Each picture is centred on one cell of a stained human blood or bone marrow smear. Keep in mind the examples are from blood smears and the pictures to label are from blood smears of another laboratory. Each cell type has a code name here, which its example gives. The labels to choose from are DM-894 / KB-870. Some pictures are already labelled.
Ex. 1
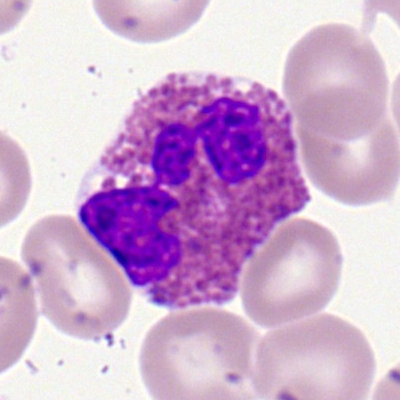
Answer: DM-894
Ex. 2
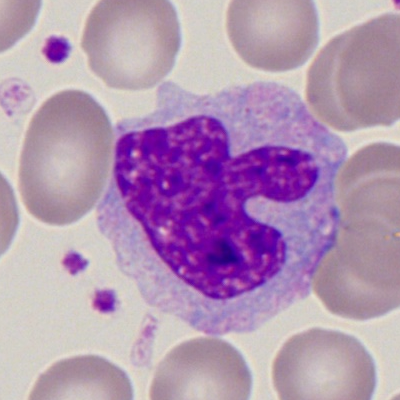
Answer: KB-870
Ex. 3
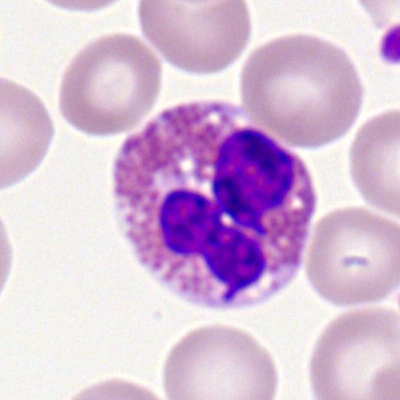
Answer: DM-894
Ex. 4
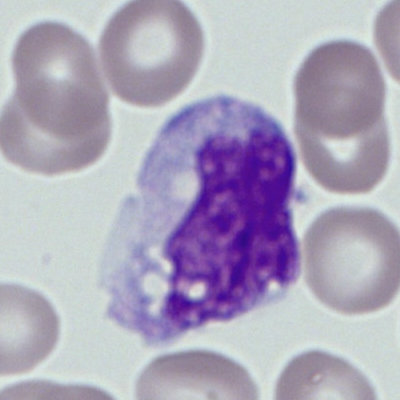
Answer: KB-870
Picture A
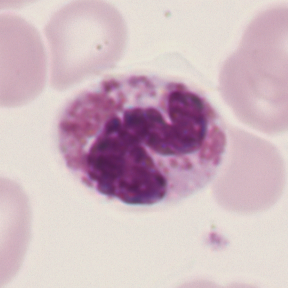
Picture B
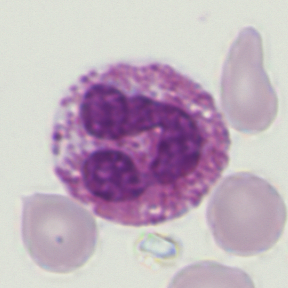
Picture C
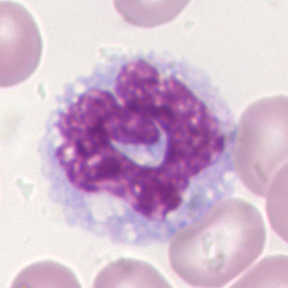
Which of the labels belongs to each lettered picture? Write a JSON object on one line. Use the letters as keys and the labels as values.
{"A": "DM-894", "B": "DM-894", "C": "KB-870"}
